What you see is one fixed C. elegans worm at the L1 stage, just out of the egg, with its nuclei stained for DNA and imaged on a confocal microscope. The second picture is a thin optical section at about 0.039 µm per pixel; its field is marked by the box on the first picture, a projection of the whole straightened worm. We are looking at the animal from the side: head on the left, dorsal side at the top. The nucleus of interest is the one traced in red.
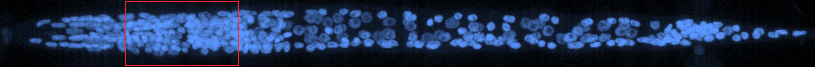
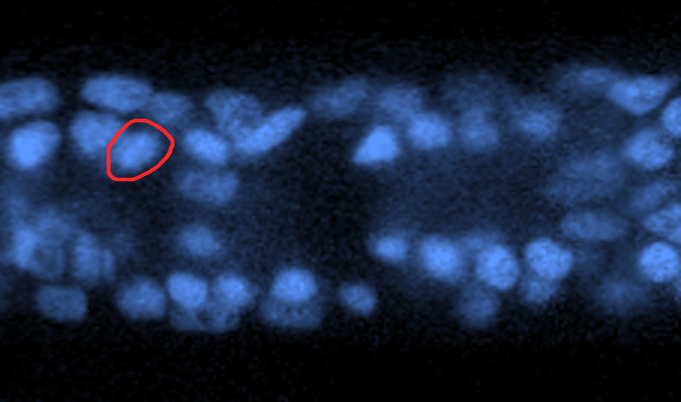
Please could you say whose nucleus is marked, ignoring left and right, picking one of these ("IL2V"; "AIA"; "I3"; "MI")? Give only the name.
I3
